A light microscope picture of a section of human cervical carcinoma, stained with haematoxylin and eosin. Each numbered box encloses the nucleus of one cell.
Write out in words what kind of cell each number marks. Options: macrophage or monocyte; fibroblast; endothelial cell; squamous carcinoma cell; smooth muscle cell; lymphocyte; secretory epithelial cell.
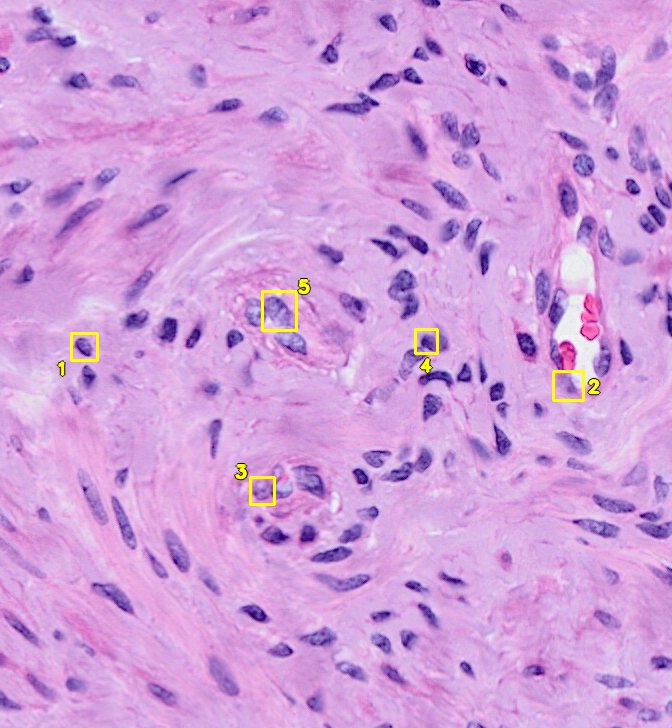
Cell 1 is a fibroblast, cell 2 is an endothelial cell, cell 3 is an endothelial cell, cell 4 is a fibroblast and cell 5 is an endothelial cell.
